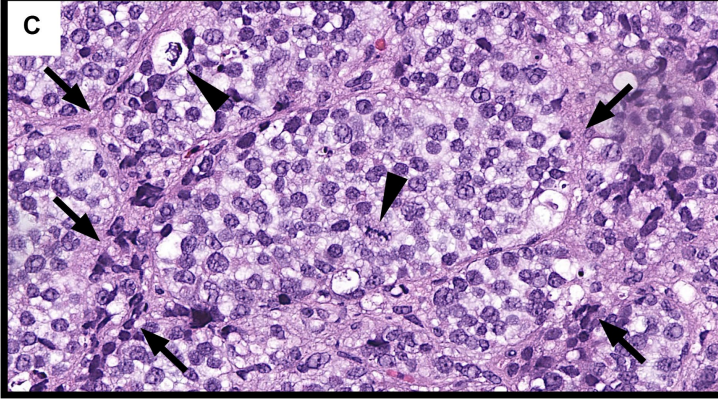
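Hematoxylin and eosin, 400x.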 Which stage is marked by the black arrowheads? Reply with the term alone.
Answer: mitotic figures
